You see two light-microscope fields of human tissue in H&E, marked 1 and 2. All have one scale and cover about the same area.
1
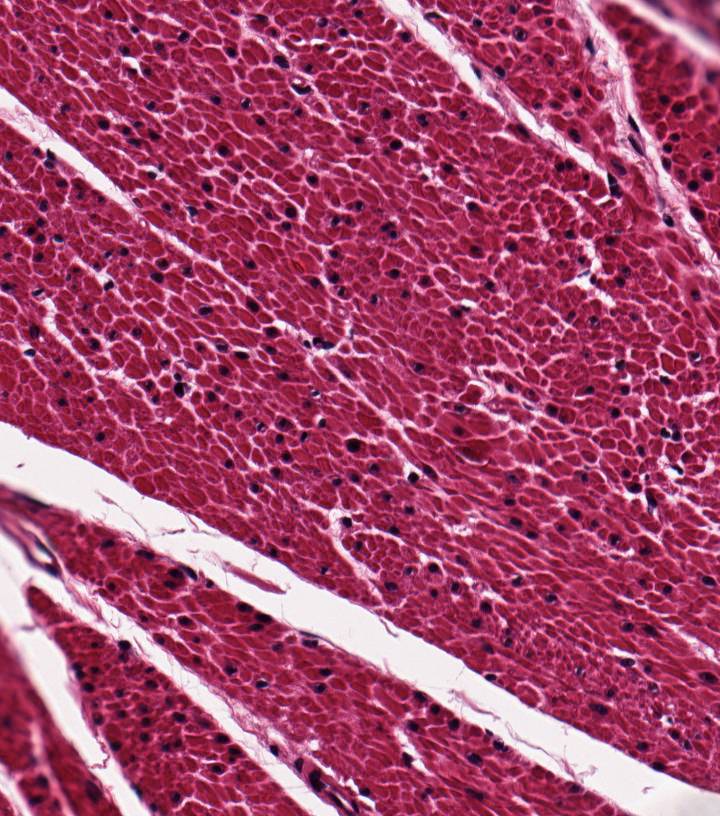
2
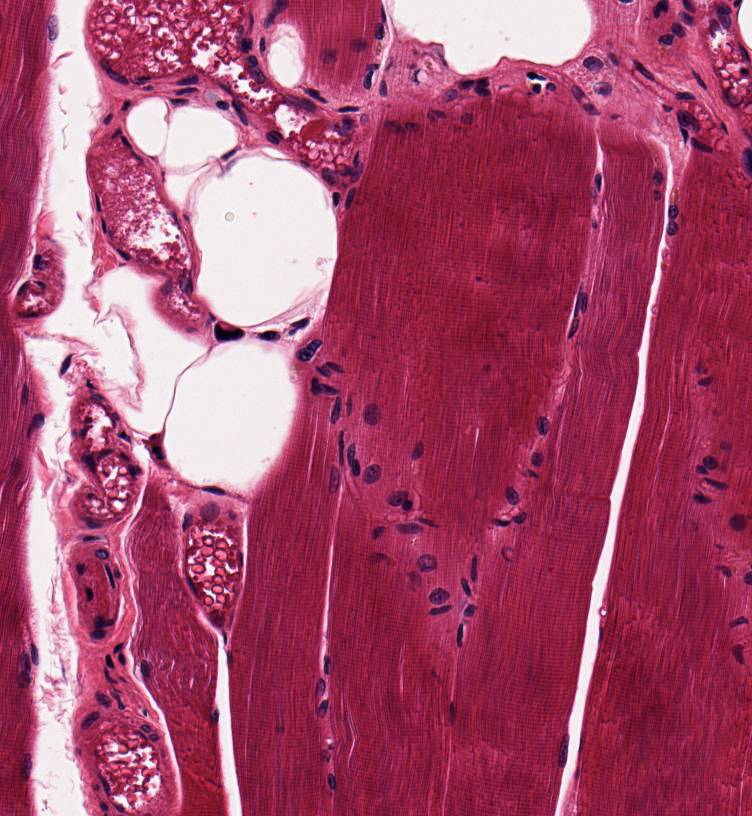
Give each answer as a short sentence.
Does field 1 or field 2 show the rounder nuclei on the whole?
On the whole the nuclei of field 1 are rounder than those of field 2.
